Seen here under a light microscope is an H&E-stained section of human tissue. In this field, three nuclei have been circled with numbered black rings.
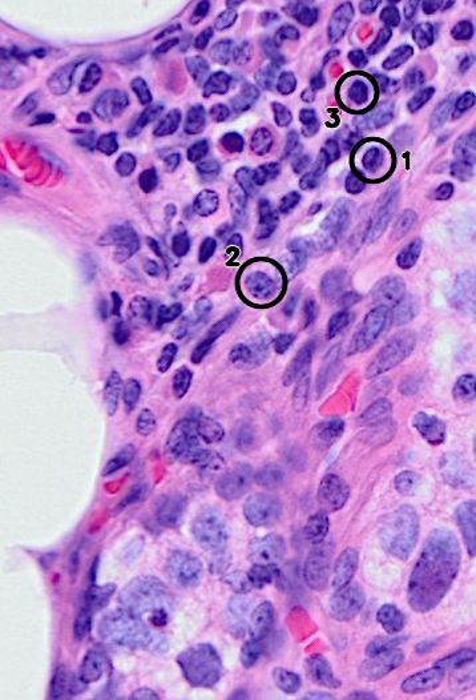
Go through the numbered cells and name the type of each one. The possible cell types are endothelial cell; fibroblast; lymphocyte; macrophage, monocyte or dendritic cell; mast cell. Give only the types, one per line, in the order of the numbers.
lymphocyte
mast cell
lymphocyte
